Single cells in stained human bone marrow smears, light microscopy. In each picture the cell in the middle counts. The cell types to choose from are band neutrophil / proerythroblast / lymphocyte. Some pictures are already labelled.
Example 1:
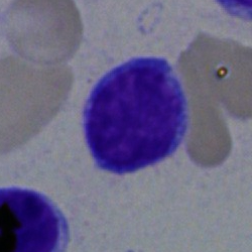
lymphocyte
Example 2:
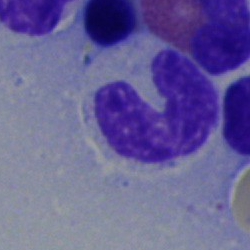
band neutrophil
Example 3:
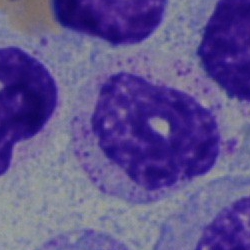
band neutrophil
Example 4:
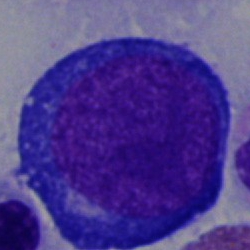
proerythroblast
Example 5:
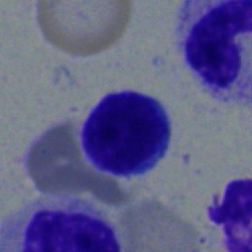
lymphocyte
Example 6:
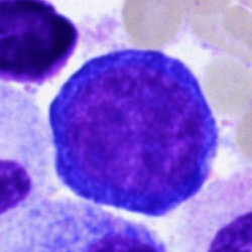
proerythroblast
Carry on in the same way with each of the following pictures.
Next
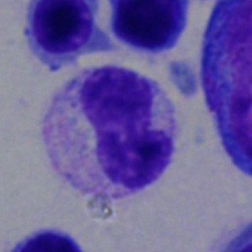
band neutrophil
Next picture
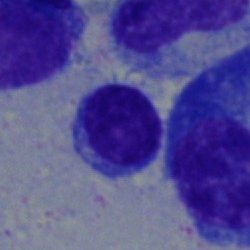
lymphocyte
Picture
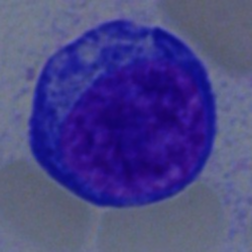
proerythroblast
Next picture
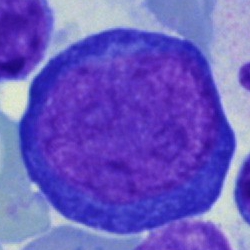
proerythroblast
